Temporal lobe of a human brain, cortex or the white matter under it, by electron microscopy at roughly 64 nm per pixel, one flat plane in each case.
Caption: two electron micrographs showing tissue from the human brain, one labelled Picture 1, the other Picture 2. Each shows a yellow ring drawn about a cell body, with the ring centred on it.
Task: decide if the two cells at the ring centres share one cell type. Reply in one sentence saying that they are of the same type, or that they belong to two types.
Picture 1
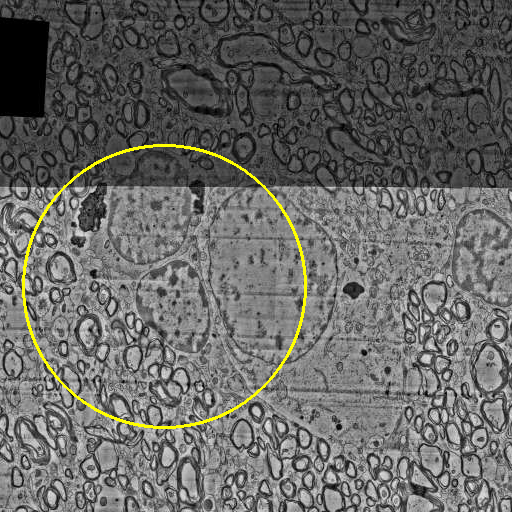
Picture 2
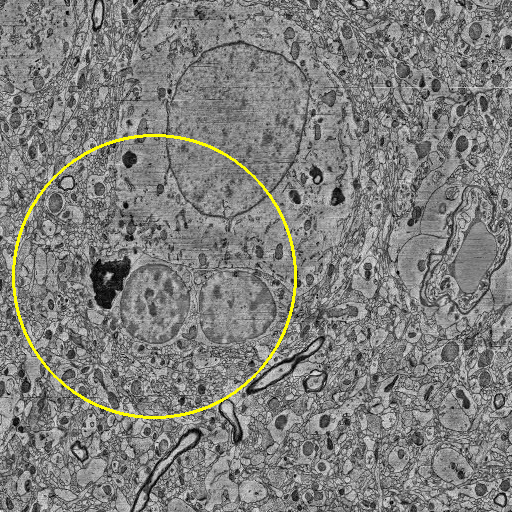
The cells at the ring centres in Picture 1 and Picture 2 belong to two types.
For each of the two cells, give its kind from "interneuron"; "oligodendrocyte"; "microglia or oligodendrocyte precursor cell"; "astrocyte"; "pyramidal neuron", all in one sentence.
The first picture has a microglial cell or oligodendrocyte precursor cell in its ring, the second has an oligodendrocyte.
